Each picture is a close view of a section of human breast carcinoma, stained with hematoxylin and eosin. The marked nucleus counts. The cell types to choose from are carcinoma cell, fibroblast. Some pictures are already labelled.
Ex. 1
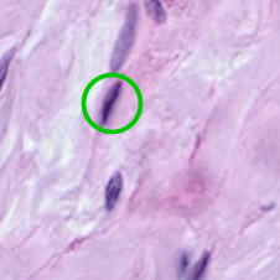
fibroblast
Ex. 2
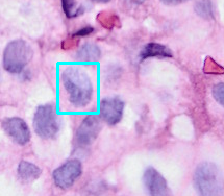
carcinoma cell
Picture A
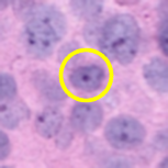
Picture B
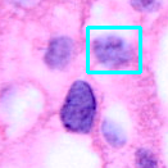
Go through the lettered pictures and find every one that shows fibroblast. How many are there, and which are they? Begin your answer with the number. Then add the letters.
0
